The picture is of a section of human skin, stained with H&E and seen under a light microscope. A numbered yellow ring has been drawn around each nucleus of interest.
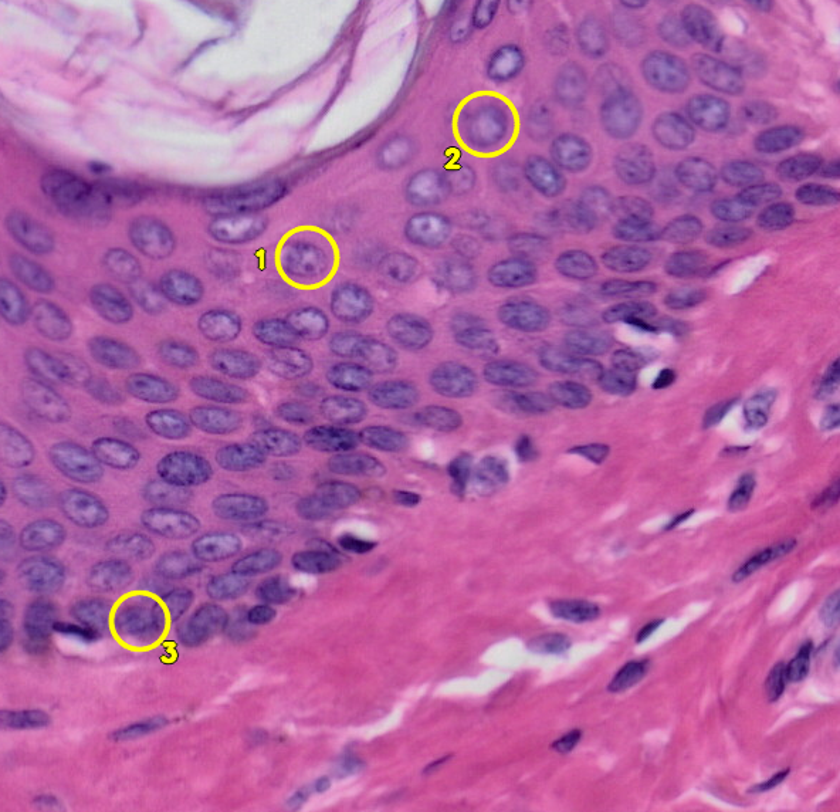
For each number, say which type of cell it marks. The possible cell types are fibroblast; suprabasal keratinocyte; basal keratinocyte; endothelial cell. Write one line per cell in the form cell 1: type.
cell 1: suprabasal keratinocyte
cell 2: suprabasal keratinocyte
cell 3: basal keratinocyte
